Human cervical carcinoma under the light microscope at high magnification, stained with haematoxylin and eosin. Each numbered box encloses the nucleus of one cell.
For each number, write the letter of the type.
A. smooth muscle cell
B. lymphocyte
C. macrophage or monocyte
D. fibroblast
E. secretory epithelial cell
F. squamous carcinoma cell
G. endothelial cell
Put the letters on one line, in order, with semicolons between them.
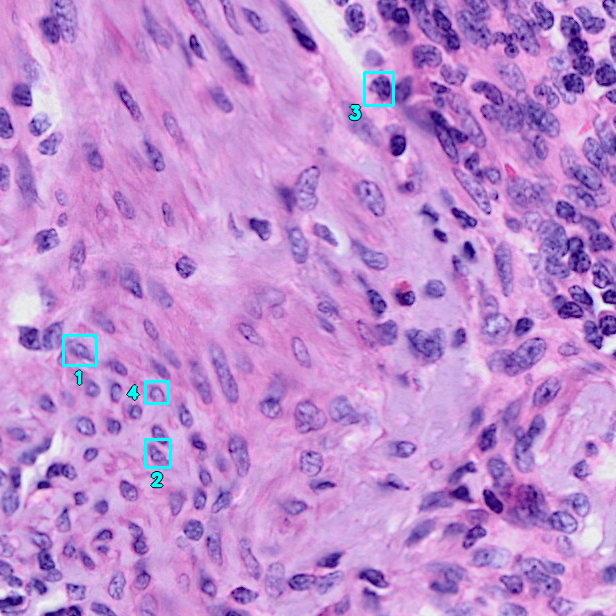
A; A; B; A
